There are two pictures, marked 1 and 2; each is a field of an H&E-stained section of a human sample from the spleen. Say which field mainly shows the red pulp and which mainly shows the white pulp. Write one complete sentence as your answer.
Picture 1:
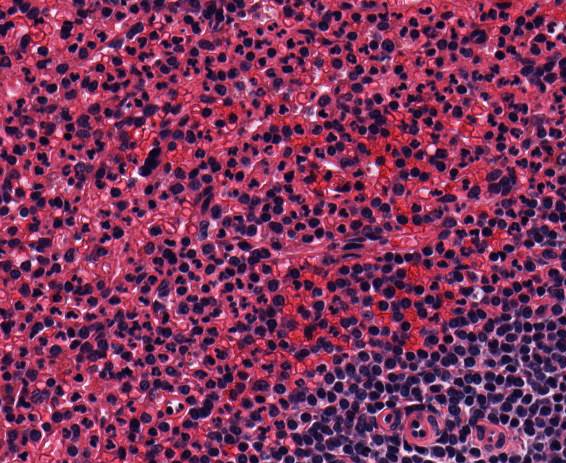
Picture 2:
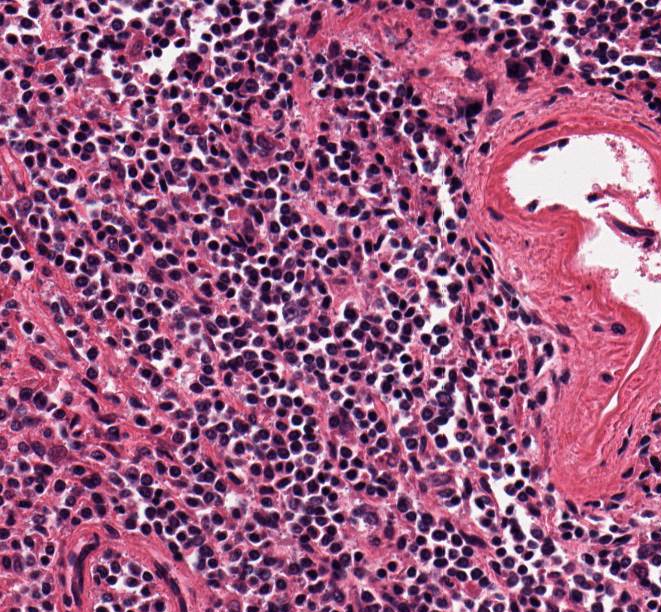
Picture 1 mainly shows the red pulp; picture 2 mainly shows the white pulp.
